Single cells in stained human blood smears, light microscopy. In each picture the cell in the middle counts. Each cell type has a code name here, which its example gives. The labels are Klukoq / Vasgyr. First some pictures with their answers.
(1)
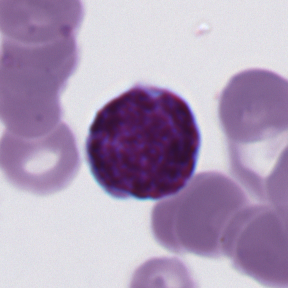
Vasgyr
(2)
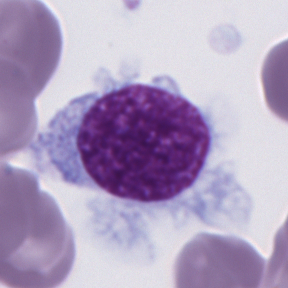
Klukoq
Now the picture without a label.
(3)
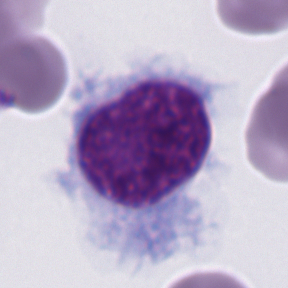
Klukoq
